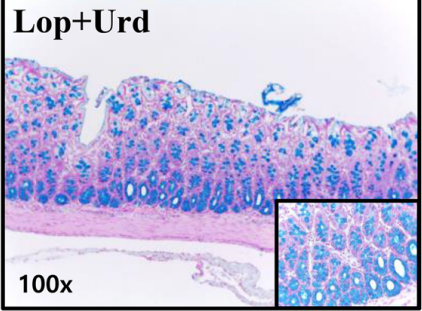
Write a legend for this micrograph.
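This section shows the colon wall with a tall mucosa of crowded crypts over a thin pink muscular layer. The crypts are packed with cells carrying blue deposits, and several crypts have open, blue-rimmed lumens. Along the luminal surface the mucosa is uneven, and a clump of blue material lies free in the lumen above it. The inset shows cross-cut crypts as rings of cells with blue-stained cytoplasm around central openings.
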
